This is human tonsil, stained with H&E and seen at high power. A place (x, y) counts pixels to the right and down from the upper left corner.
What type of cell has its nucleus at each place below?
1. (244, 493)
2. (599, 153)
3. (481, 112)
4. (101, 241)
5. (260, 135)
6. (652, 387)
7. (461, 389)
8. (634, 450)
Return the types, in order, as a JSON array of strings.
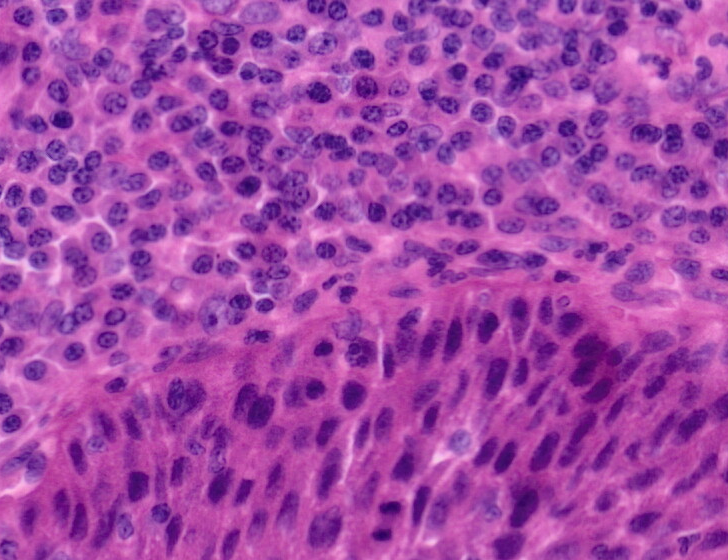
["squamous epithelial cell", "plasma cell", "plasma cell", "plasma cell", "plasma cell", "squamous epithelial cell", "squamous epithelial cell", "squamous epithelial cell"]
